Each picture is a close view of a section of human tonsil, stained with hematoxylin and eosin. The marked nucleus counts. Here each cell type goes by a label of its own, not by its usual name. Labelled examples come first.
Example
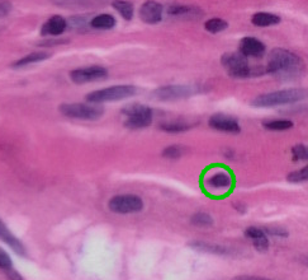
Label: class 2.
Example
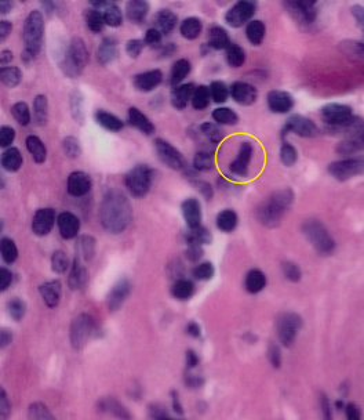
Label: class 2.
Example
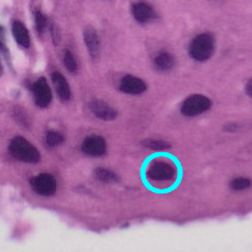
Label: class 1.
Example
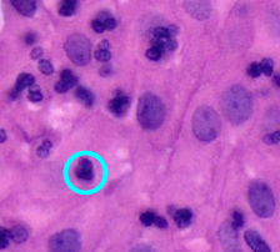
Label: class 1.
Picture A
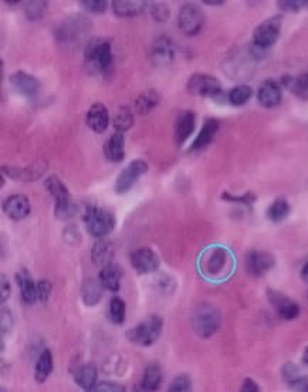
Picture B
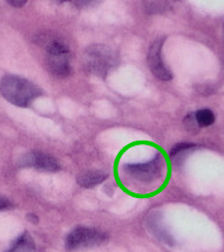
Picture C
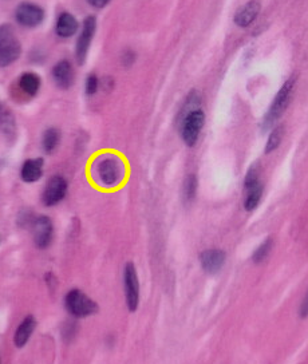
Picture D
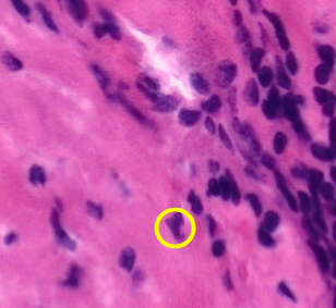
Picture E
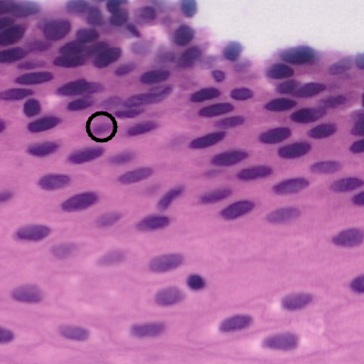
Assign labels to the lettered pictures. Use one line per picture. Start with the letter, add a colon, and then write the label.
A: class 2.
B: class 1.
C: class 2.
D: class 2.
E: class 1.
